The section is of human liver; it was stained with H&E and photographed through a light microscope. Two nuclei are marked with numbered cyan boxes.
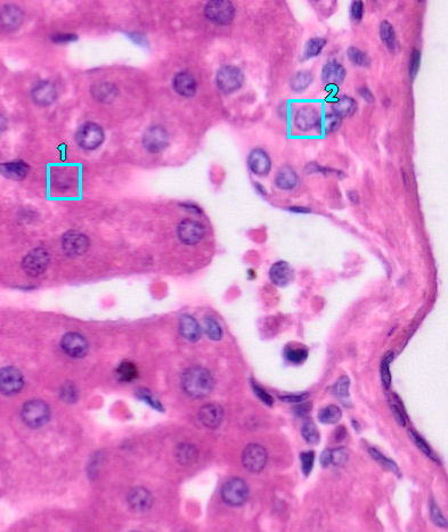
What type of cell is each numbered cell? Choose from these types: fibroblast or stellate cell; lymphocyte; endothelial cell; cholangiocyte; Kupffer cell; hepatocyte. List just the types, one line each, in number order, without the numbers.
hepatocyte
cholangiocyte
